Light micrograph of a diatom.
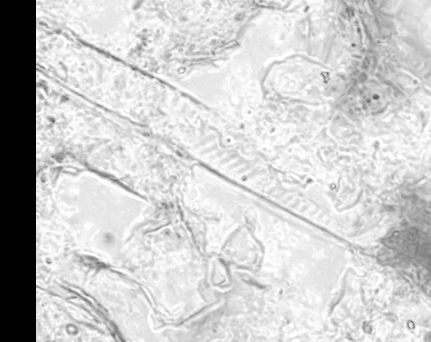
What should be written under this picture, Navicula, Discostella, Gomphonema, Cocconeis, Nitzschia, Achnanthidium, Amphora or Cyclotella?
Navicula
